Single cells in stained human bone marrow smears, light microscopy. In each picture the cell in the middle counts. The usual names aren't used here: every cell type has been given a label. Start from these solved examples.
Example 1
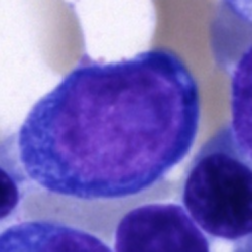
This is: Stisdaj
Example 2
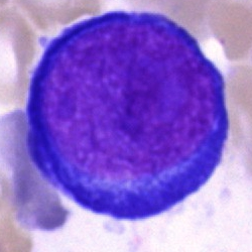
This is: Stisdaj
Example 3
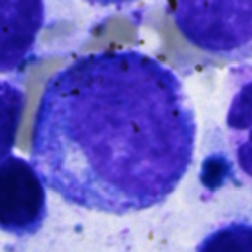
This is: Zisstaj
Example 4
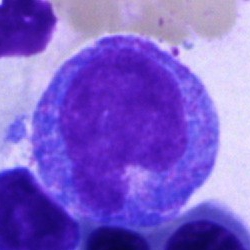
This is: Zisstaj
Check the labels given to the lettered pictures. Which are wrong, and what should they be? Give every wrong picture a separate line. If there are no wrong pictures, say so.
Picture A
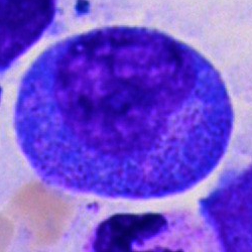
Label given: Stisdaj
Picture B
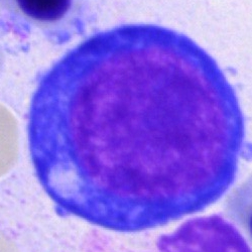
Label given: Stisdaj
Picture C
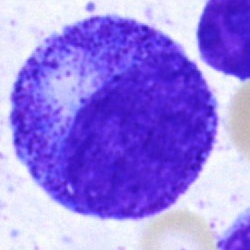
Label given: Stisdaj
A is labelled Stisdaj; correct label: Zisstaj
C is labelled Stisdaj; correct label: Zisstaj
